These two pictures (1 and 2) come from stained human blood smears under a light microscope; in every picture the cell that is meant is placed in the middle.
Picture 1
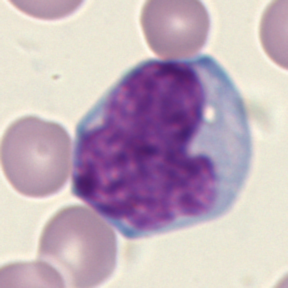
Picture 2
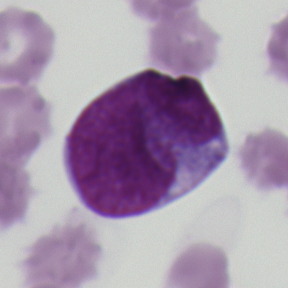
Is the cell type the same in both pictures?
yes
